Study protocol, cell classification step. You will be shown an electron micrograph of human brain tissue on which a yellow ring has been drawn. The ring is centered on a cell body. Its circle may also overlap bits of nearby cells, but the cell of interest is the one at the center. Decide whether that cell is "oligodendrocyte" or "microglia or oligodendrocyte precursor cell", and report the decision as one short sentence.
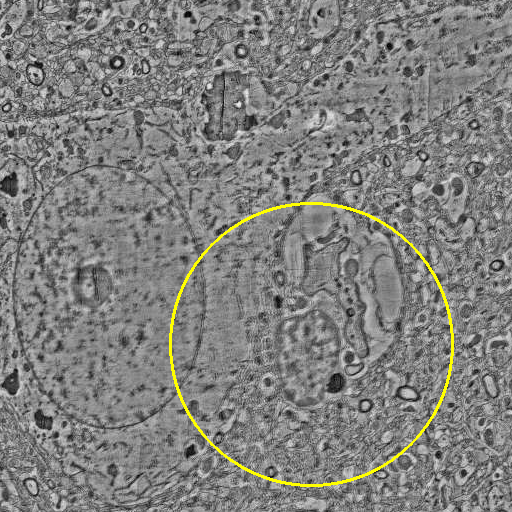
The marked cell is an oligodendrocyte.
